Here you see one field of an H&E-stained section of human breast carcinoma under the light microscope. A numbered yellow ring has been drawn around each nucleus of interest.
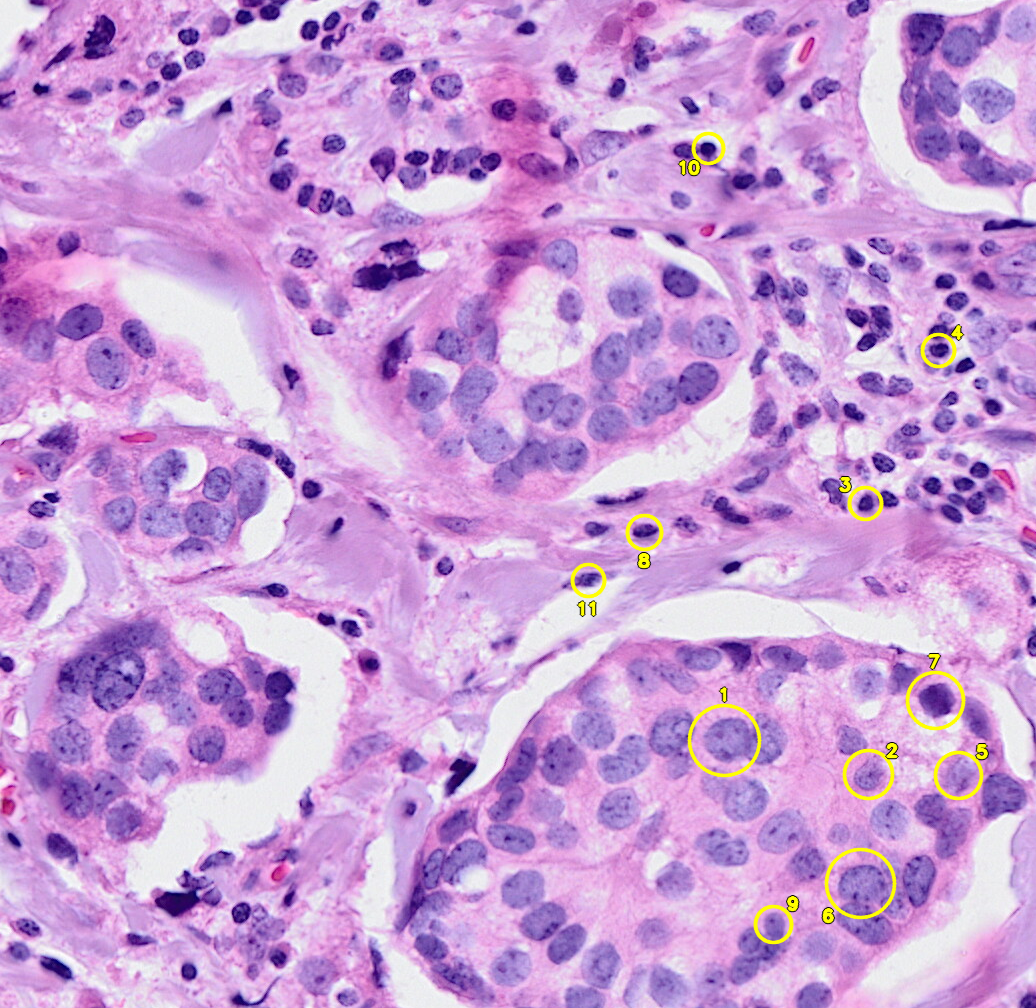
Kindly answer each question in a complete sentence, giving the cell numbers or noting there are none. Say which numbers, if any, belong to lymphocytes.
Cells numbered 3, 4, 8, 10 and 11 belong to the group of lymphocytes.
